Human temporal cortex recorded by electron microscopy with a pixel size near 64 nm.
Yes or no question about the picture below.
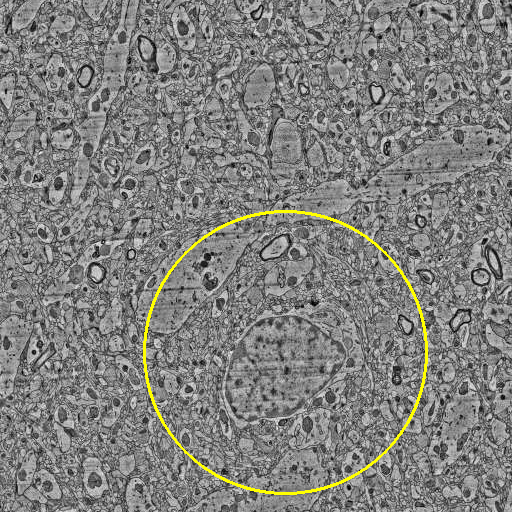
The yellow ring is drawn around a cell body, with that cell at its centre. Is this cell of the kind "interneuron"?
no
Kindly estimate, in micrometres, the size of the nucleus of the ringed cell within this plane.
About 8 by 6 micrometres in this plane.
